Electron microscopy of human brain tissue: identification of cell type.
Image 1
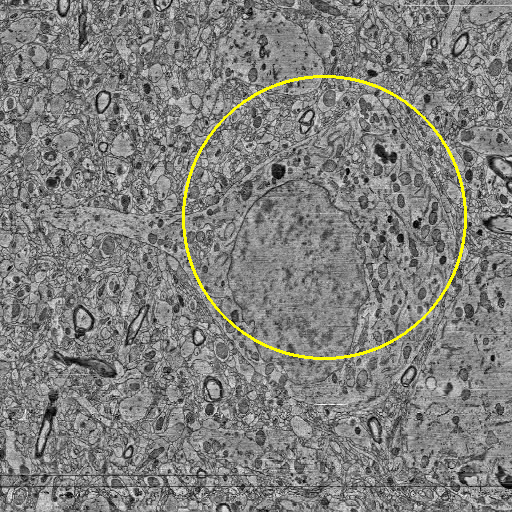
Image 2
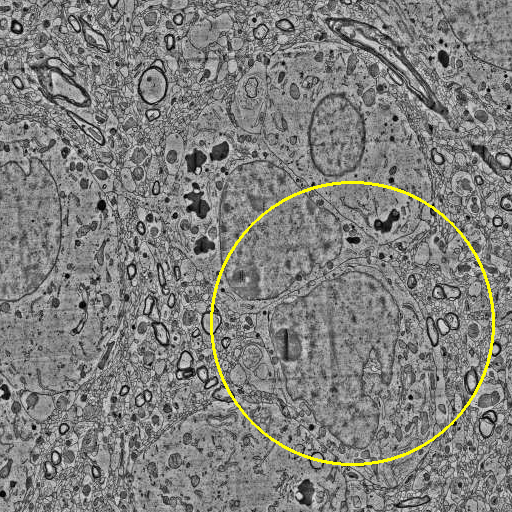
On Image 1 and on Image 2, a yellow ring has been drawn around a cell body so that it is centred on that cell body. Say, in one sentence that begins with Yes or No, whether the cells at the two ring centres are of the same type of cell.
Yes, both cells are the same type of cell.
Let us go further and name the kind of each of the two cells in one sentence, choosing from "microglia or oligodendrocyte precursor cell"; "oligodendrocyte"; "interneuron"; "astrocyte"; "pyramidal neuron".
Each cell at the centre of a ring is an interneuron.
